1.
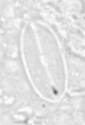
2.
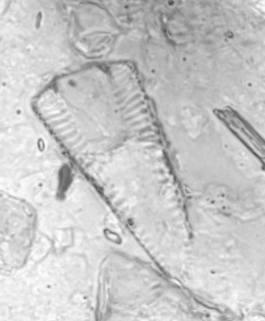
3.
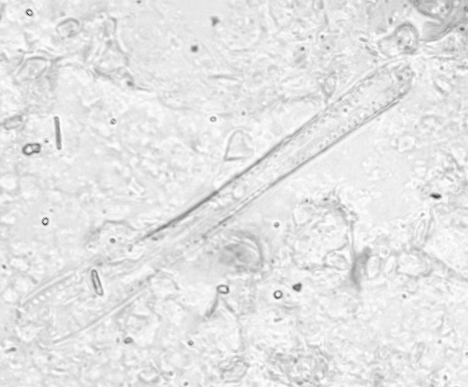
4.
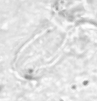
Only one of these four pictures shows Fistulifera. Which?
Picture 1.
